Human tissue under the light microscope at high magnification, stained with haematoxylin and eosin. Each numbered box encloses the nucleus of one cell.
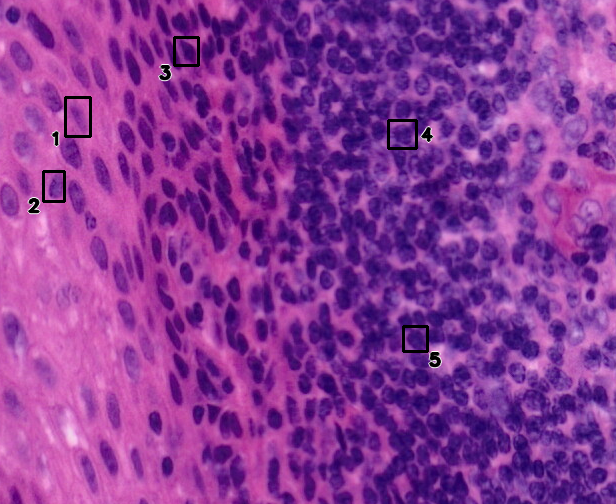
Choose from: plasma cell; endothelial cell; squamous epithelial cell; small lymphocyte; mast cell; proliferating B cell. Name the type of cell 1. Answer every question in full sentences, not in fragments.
Cell 1 in the field is a squamous epithelial cell.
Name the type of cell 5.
As for number 5, that cell is a small lymphocyte.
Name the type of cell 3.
Corresponding to a squamous epithelial cell is the cell labelled 3.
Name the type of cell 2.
The cell to which the number 2 is assigned is a squamous epithelial cell.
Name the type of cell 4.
The marked cell bearing number 4 is a small lymphocyte.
